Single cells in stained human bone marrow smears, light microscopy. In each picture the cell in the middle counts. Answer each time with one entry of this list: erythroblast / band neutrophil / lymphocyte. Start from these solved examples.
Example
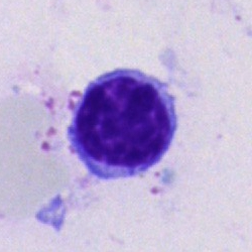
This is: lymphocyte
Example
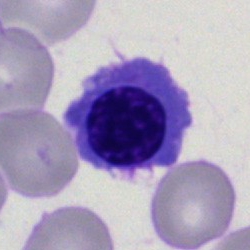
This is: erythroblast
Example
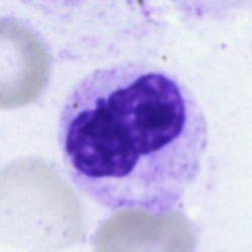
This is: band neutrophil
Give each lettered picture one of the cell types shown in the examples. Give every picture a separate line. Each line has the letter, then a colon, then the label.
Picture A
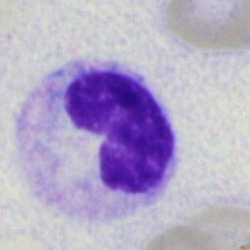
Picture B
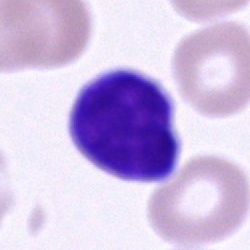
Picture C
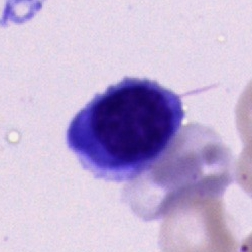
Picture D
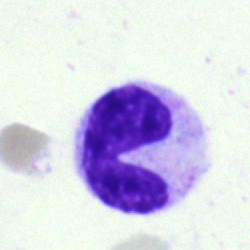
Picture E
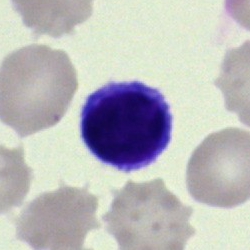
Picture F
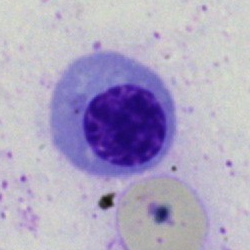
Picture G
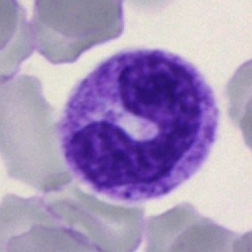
A: band neutrophil
B: lymphocyte
C: erythroblast
D: band neutrophil
E: lymphocyte
F: erythroblast
G: band neutrophil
